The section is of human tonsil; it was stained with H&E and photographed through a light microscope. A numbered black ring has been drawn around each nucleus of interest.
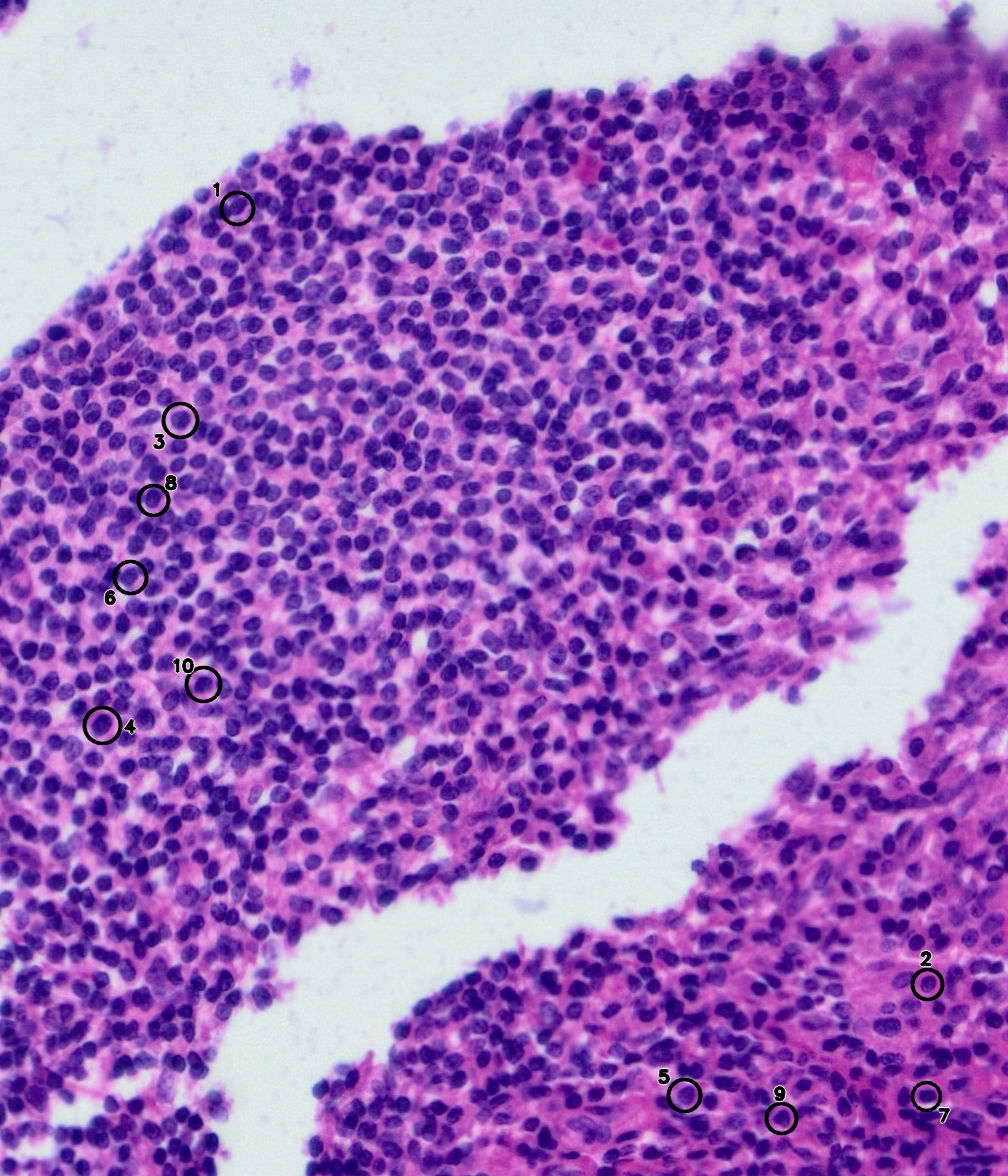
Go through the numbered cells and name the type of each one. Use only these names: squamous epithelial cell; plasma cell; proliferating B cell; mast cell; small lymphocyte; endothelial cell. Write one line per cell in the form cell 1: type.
cell 1: small lymphocyte
cell 2: plasma cell
cell 3: small lymphocyte
cell 4: small lymphocyte
cell 5: plasma cell
cell 6: small lymphocyte
cell 7: plasma cell
cell 8: small lymphocyte
cell 9: plasma cell
cell 10: small lymphocyte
